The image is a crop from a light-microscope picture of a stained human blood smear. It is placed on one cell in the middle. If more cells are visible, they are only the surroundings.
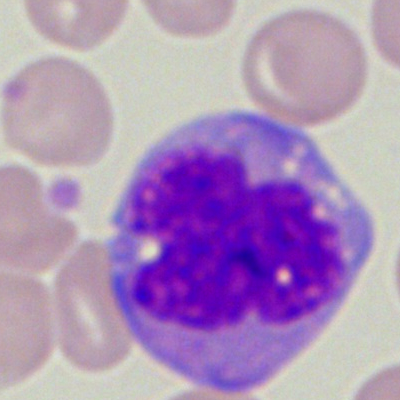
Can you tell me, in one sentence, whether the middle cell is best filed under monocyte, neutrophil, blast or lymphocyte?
The cell in the middle of this crop is a monocyte.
